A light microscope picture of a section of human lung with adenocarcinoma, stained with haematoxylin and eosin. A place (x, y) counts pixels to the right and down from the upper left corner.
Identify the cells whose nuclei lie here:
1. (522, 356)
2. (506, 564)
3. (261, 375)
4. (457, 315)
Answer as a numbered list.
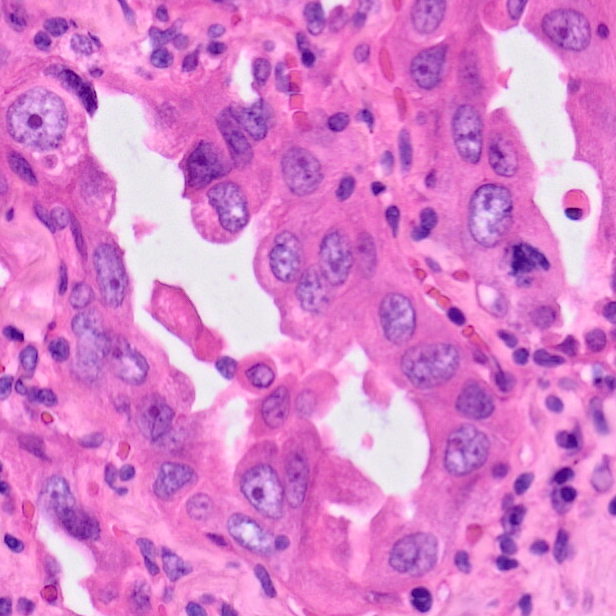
1. lymphocyte
2. lymphocyte
3. macrophage or monocyte
4. lymphocyte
